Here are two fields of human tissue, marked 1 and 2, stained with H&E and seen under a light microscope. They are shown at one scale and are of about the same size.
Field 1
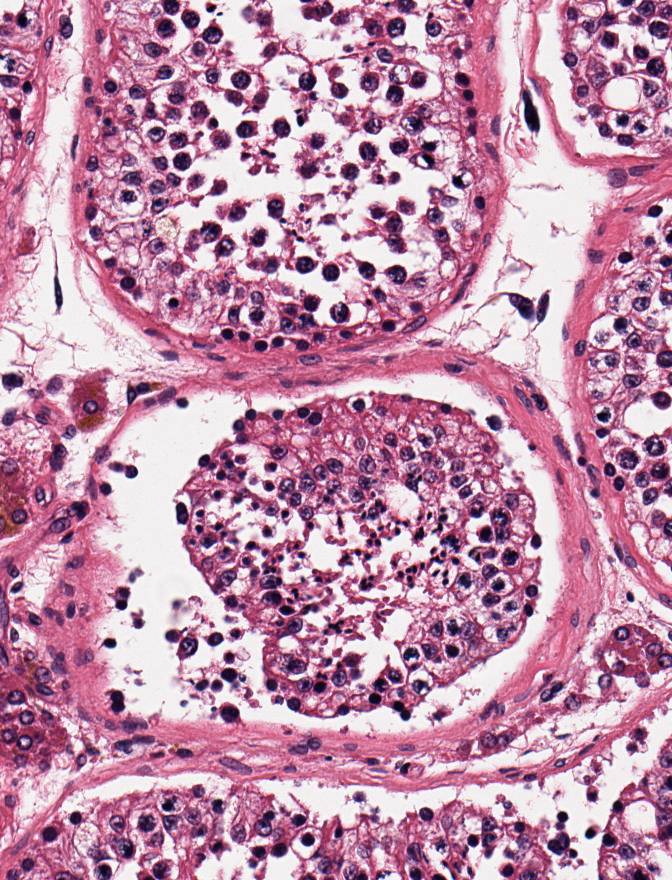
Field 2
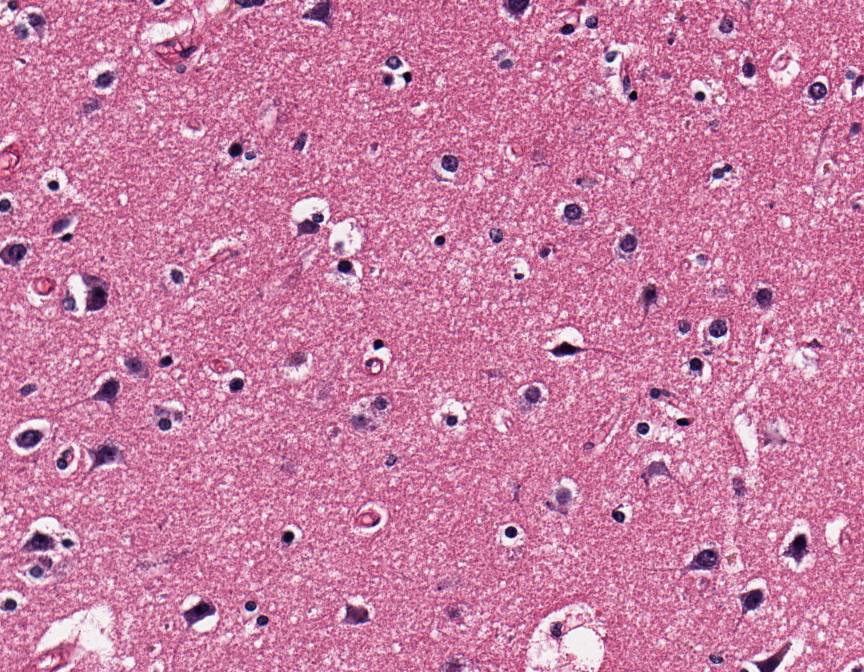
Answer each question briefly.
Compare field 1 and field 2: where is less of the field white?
2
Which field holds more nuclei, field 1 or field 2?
1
